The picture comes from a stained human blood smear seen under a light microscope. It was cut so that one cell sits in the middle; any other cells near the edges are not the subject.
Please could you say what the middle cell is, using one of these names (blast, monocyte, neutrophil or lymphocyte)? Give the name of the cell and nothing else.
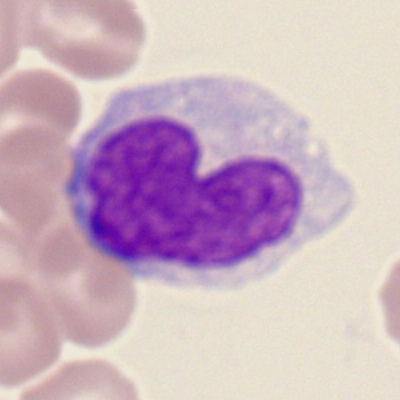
monocyte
